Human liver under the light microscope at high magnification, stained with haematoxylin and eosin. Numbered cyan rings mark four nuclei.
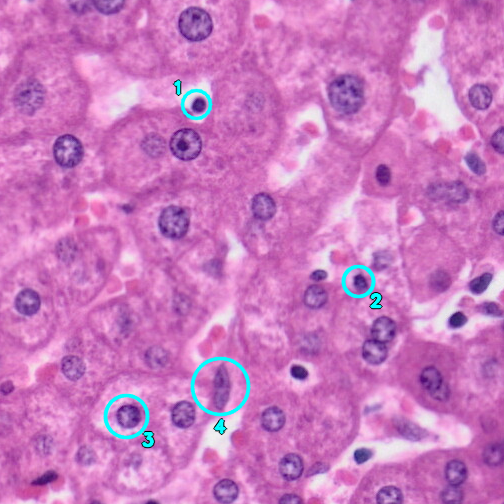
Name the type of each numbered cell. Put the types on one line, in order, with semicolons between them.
lymphocyte; fibroblast or stellate cell; hepatocyte; Kupffer cell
